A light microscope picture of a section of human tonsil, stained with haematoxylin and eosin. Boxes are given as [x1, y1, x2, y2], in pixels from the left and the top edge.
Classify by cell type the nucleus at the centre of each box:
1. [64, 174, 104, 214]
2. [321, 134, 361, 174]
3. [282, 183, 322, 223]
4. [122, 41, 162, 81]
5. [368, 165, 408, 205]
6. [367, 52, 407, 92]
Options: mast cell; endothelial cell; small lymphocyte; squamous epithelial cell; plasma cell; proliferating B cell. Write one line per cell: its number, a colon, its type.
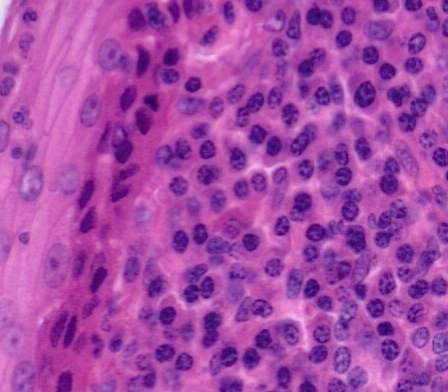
1: squamous epithelial cell
2: plasma cell
3: plasma cell
4: squamous epithelial cell
5: plasma cell
6: plasma cell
